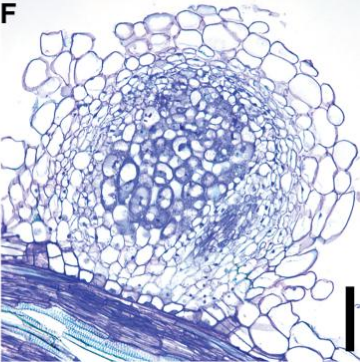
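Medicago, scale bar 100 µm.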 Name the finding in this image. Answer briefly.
Nodule without a meristem.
